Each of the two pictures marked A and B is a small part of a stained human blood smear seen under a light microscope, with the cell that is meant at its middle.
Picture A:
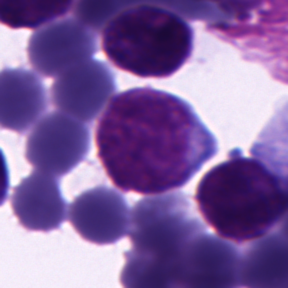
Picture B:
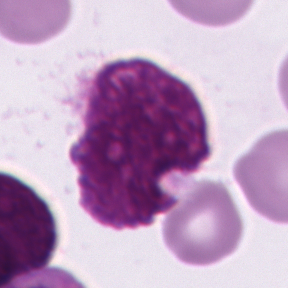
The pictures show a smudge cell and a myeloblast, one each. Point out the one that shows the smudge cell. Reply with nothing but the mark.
B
